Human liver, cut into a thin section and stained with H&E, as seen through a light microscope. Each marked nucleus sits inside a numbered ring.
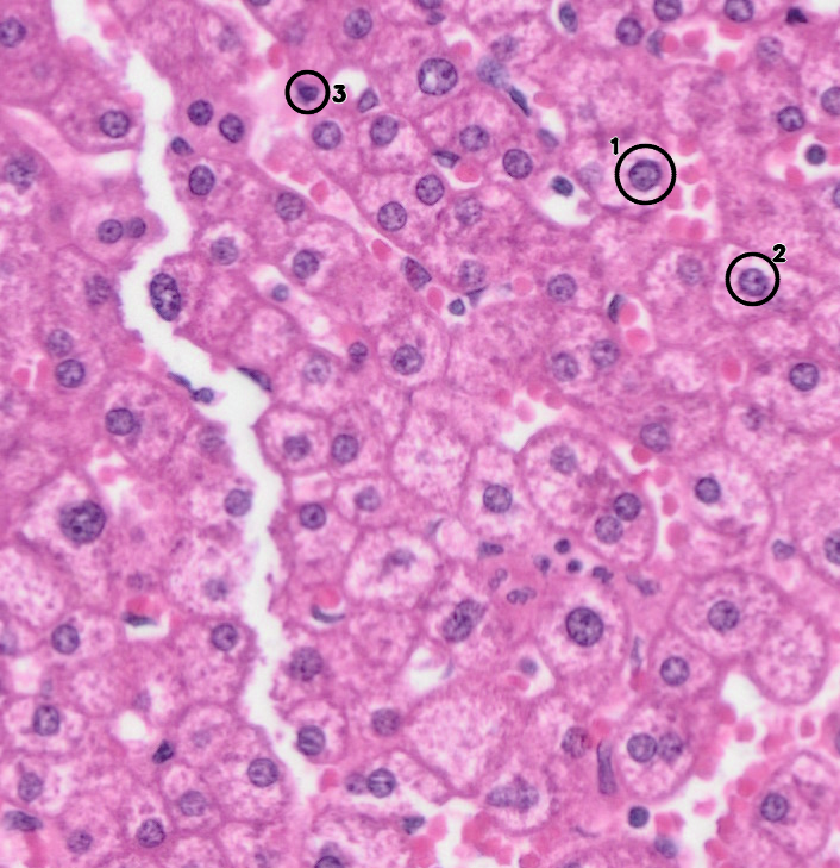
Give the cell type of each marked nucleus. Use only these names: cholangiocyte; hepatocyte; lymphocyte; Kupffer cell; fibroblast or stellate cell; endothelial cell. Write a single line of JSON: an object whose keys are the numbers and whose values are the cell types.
{"1": "hepatocyte", "2": "hepatocyte", "3": "fibroblast or stellate cell"}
